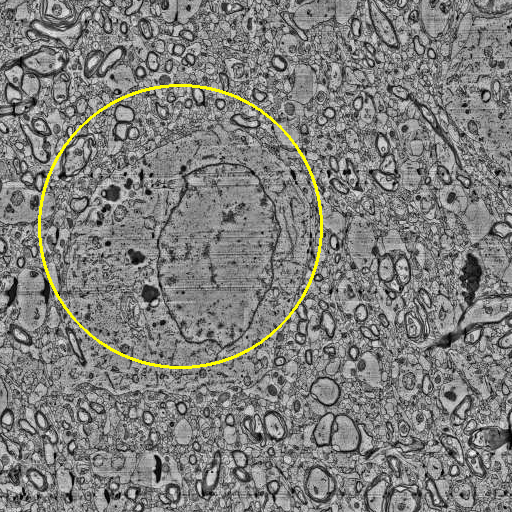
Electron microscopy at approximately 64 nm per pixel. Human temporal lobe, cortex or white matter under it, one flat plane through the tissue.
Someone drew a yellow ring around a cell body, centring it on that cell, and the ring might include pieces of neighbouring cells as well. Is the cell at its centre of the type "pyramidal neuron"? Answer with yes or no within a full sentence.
Yes, within the picture, the cell the ring is centred on qualifies as that type.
